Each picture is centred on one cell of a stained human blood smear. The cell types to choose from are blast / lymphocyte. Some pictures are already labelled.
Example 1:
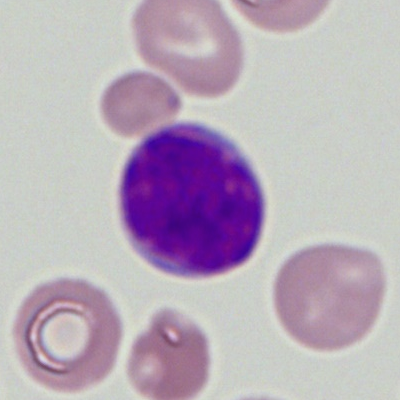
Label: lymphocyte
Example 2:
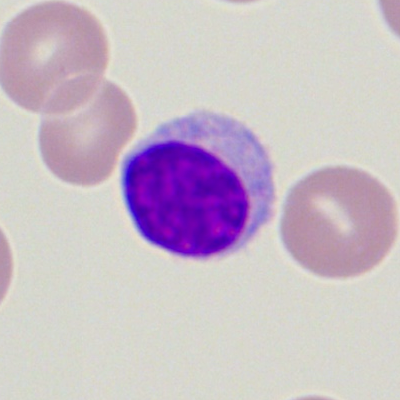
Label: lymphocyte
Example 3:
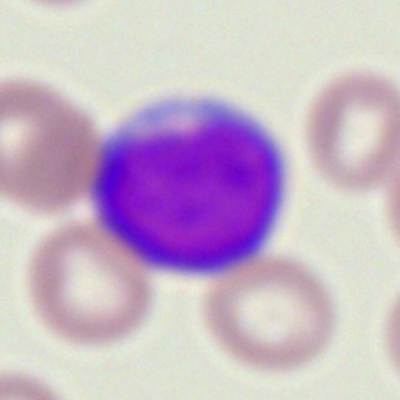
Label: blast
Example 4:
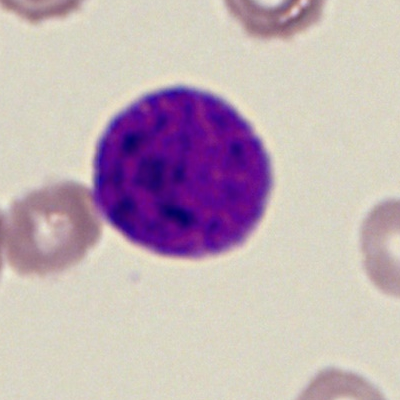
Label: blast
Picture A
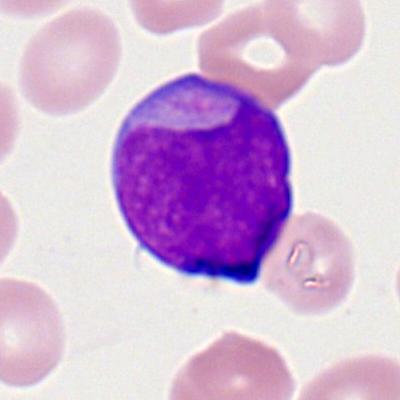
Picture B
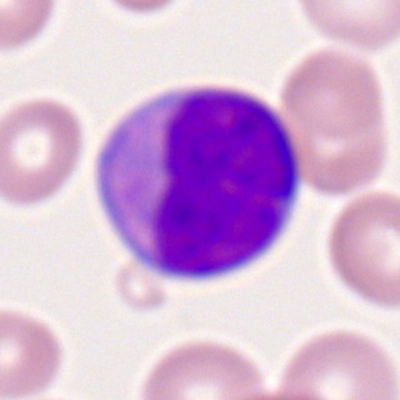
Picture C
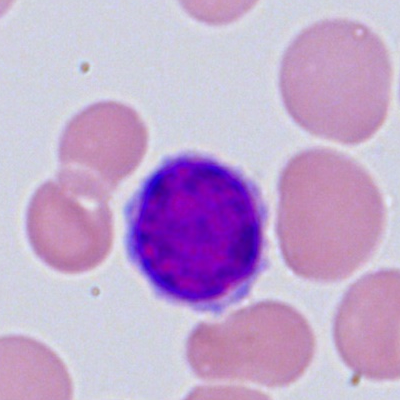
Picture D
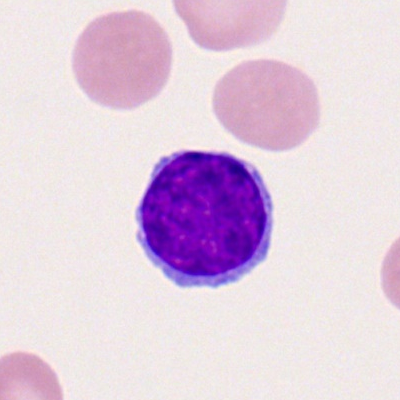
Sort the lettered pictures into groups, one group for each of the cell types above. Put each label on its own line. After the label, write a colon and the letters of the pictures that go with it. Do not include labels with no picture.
blast: A, B
lymphocyte: C, D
